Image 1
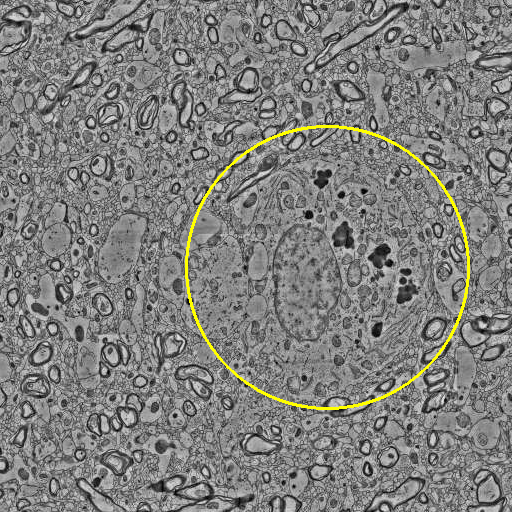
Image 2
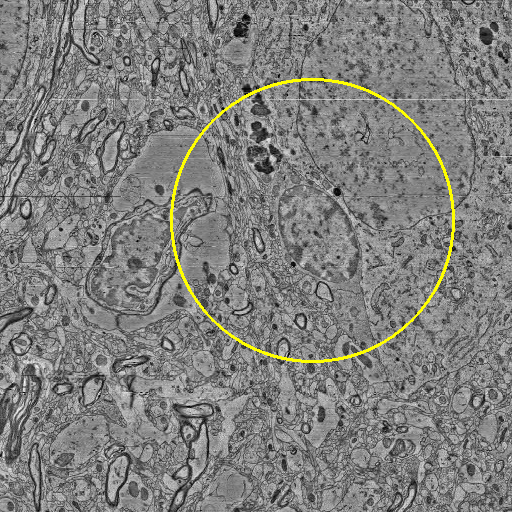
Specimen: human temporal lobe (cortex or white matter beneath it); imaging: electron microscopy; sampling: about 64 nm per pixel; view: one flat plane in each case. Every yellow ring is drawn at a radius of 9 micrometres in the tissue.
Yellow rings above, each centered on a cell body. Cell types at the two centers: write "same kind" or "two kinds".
two kinds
